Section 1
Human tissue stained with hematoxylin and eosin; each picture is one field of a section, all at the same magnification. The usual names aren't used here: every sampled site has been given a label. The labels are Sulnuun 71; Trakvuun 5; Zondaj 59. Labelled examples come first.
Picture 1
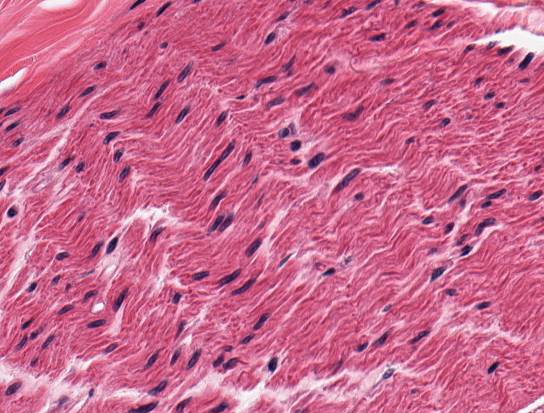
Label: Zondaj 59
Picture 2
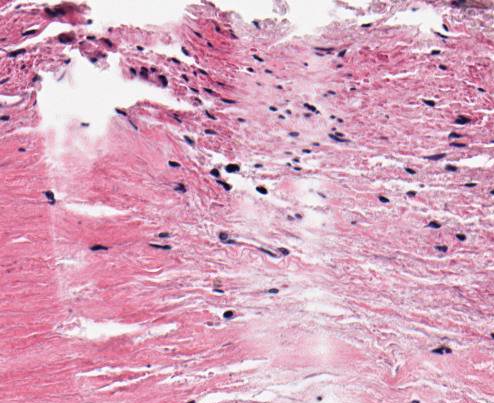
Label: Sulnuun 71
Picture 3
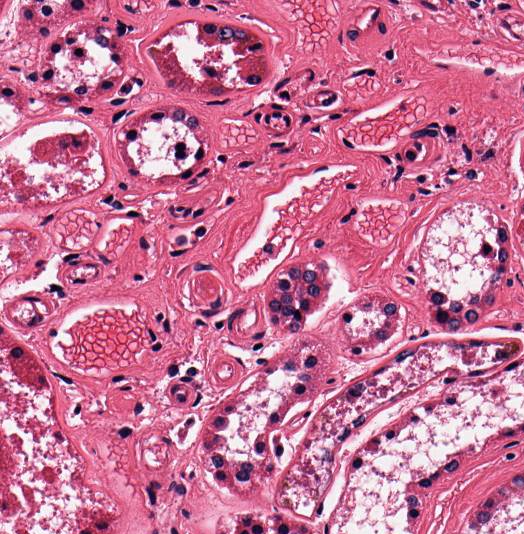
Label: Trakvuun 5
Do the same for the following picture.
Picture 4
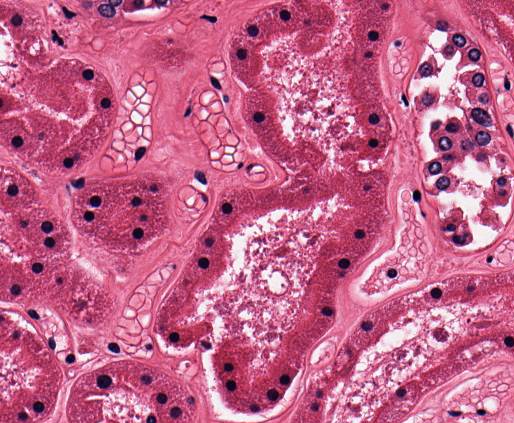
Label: Trakvuun 5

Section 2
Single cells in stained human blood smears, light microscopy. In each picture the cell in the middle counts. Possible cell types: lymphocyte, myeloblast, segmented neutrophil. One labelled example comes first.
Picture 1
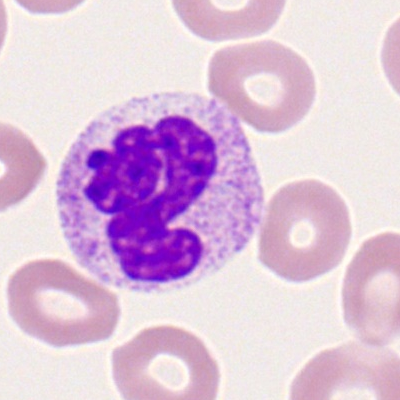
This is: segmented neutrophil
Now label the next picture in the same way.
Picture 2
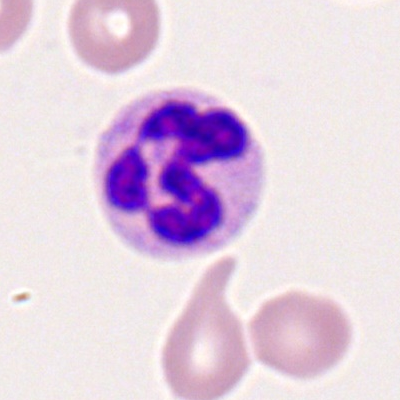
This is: segmented neutrophil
